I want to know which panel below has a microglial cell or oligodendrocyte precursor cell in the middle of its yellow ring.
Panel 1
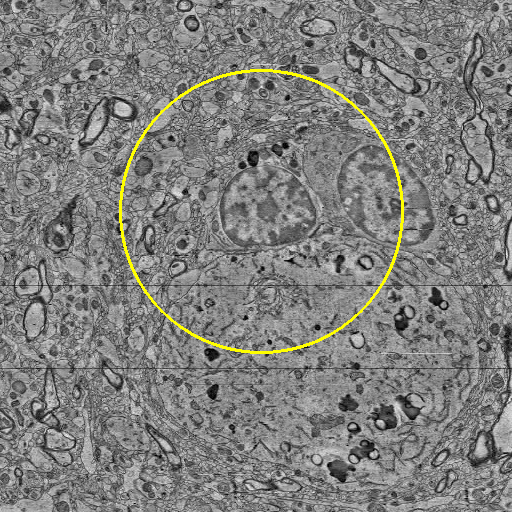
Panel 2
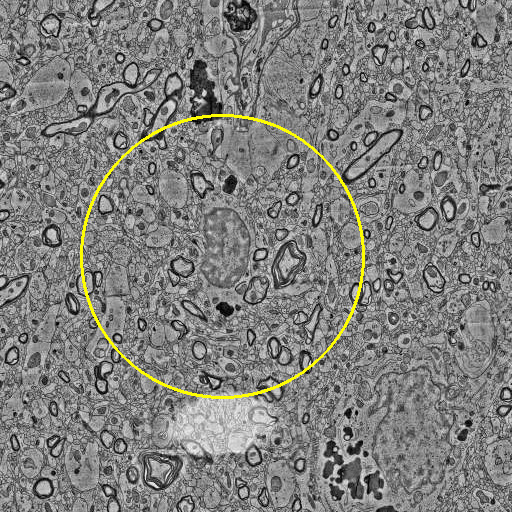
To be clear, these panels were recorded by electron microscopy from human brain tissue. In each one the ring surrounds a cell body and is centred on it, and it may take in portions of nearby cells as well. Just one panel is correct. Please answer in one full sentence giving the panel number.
Panel 1 has the requested cell sitting at the centre of its ring.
